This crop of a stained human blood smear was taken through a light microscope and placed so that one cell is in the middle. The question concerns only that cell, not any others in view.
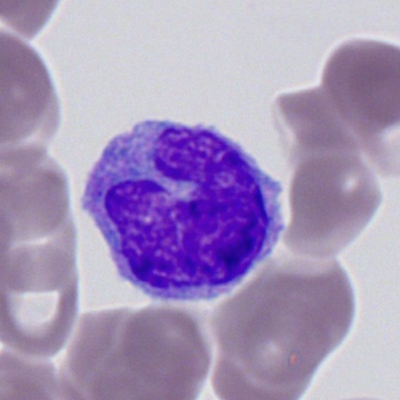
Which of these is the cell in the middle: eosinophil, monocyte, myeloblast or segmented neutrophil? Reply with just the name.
monocyte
